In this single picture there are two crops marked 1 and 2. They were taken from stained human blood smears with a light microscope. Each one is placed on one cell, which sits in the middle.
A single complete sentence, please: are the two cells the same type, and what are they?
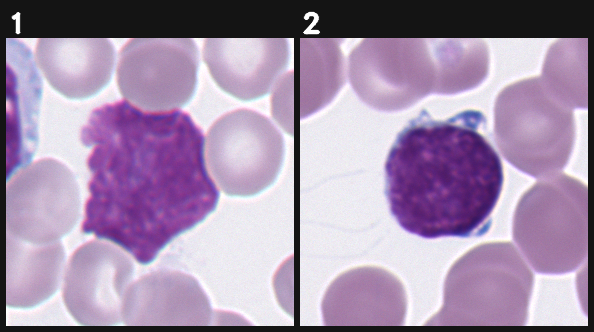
No, it is in crop 1 that a smudge cell is shown, and in crop 2 that a typical lymphocyte is shown.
